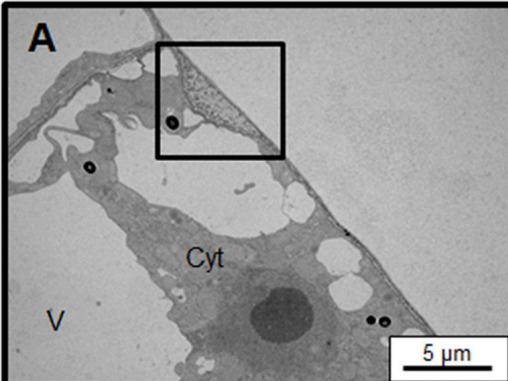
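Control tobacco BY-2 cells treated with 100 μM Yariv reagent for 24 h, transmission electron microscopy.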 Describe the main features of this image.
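A rounded nucleus with a dark, dense nucleolus lies in the thicker cytoplasm toward the lower part. Small dark round bodies and pale vesicles are scattered in the cytoplasm. The thin cell wall runs diagonally along the right edge. In the upper part, a wedge of granular, filamentous material lies between the plasma membrane and the cell wall, separated from the cytoplasm by a thin membrane.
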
